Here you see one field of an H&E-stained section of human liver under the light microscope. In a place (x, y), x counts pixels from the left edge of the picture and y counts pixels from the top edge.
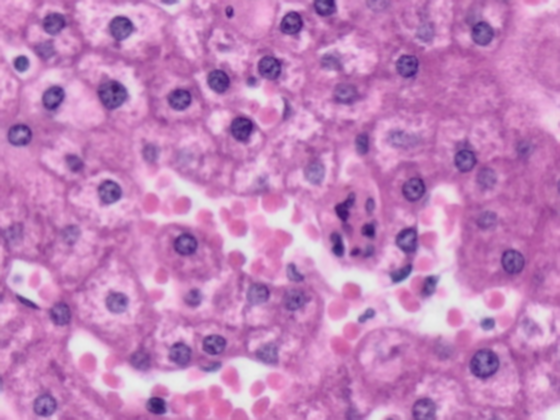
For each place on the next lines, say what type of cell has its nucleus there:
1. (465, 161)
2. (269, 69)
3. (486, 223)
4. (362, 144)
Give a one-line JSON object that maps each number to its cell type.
{"1": "hepatocyte", "2": "hepatocyte", "3": "hepatocyte", "4": "fibroblast or stellate cell"}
